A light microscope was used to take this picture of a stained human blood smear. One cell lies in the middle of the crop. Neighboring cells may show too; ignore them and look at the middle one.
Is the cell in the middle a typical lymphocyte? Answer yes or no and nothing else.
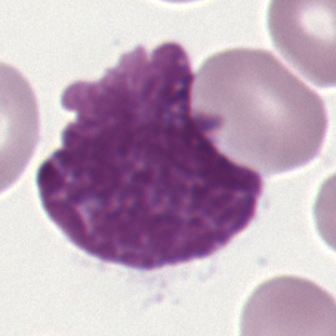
no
